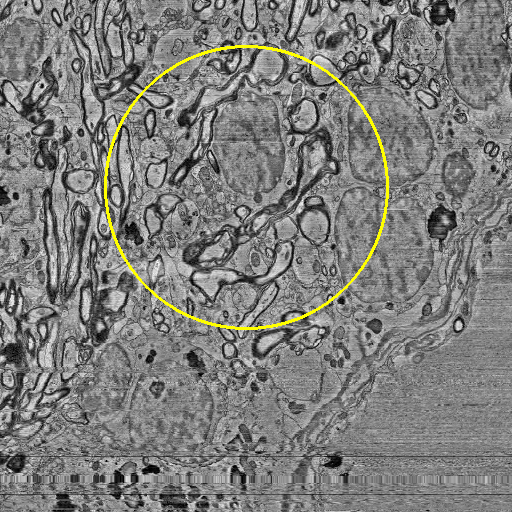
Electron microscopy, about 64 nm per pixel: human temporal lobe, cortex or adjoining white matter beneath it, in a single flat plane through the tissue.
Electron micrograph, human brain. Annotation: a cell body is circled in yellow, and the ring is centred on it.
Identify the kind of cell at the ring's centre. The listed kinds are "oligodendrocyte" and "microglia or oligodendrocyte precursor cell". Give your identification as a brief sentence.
The circled cell body is that of an oligodendrocyte.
